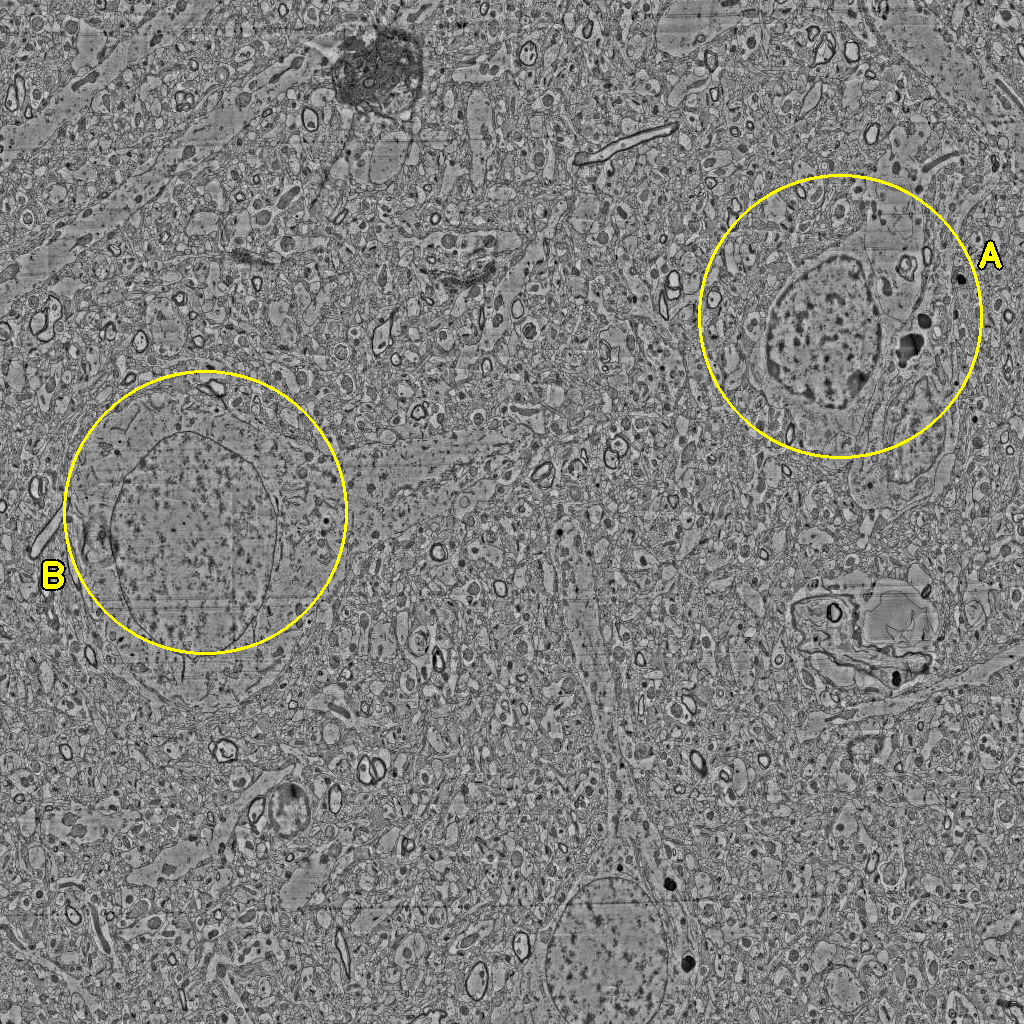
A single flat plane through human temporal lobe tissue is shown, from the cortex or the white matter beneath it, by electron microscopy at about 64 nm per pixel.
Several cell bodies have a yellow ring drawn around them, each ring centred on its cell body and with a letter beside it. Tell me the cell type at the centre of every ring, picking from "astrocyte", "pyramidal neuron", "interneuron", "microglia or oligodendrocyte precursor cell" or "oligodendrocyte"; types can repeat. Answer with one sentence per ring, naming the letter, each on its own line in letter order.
In ring A, the central cell is an astrocyte.
In ring B, the central cell is a pyramidal neuron.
